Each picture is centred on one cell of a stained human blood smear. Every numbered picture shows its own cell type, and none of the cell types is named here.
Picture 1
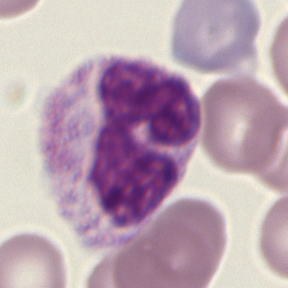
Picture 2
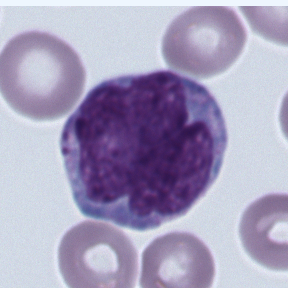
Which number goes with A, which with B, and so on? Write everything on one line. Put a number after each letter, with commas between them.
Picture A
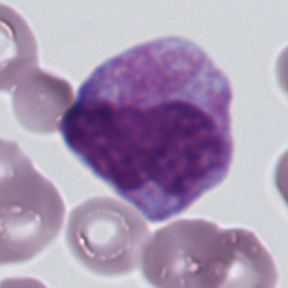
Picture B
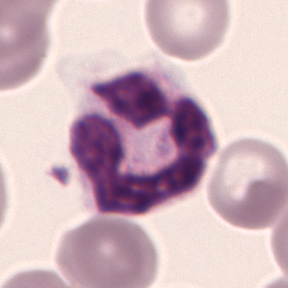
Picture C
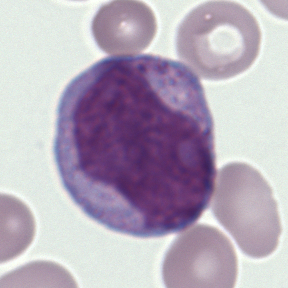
A 2, B 1, C 2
